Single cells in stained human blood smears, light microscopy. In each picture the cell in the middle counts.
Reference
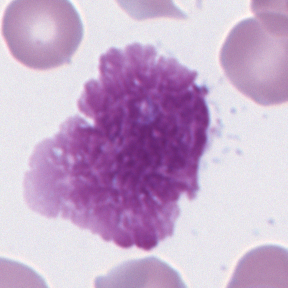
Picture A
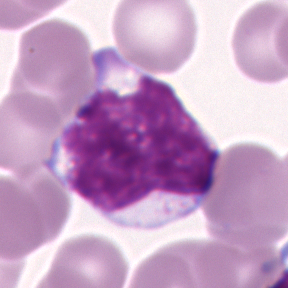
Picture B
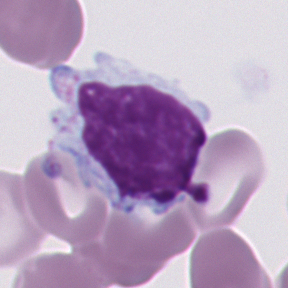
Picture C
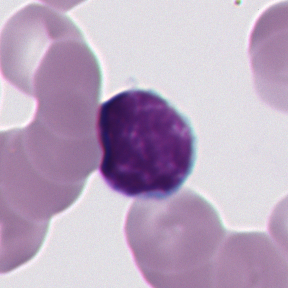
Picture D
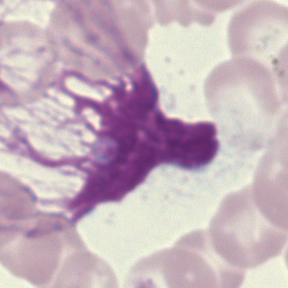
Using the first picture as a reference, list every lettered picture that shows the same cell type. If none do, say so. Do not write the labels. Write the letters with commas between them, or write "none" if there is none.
D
